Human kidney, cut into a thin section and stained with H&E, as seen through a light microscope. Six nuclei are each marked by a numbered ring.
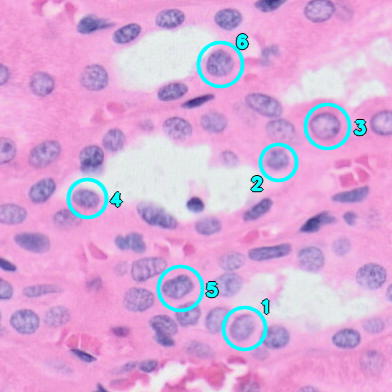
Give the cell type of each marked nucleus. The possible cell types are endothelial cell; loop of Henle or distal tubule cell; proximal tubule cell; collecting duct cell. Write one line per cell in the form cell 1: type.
cell 1: collecting duct cell
cell 2: loop of Henle or distal tubule cell
cell 3: proximal tubule cell
cell 4: loop of Henle or distal tubule cell
cell 5: collecting duct cell
cell 6: collecting duct cell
